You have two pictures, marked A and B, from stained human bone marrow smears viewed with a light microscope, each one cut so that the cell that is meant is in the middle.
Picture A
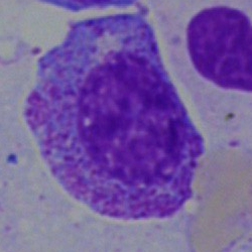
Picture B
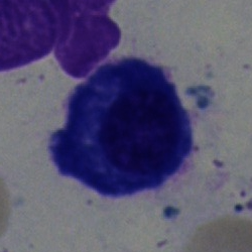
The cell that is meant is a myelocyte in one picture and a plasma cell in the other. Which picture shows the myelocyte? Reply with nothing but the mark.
A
